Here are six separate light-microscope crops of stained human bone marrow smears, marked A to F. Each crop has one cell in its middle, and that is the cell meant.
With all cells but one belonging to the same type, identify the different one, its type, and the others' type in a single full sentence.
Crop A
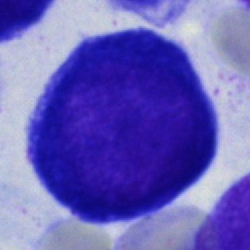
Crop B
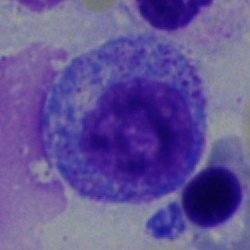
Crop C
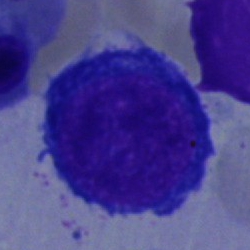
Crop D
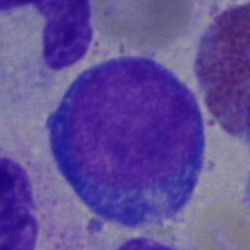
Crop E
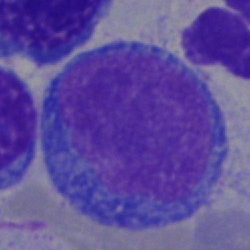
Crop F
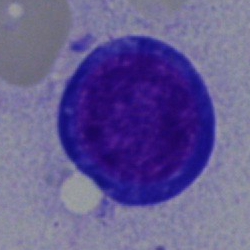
Of these crops, only crop B is a promyelocyte; the others are proerythroblasts.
